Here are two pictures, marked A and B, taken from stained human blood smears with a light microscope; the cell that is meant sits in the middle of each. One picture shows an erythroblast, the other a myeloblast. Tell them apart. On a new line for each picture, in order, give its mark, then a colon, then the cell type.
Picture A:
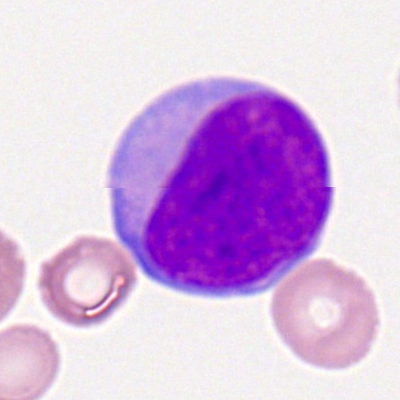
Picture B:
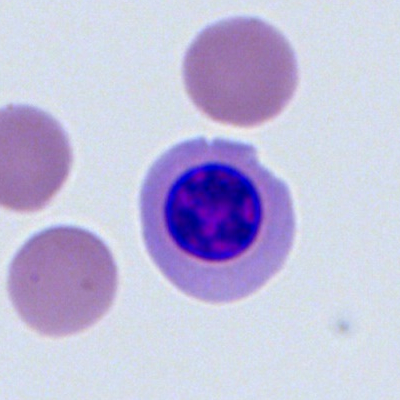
A: myeloblast
B: erythroblast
